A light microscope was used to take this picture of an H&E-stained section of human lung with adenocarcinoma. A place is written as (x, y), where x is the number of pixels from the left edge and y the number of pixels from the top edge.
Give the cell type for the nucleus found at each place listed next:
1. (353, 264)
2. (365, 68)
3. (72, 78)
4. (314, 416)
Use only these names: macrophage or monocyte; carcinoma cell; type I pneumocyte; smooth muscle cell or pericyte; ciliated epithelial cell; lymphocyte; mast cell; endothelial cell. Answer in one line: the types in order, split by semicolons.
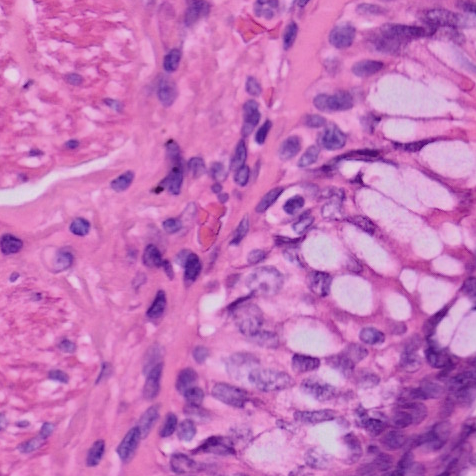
ciliated epithelial cell; ciliated epithelial cell; smooth muscle cell or pericyte; ciliated epithelial cell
